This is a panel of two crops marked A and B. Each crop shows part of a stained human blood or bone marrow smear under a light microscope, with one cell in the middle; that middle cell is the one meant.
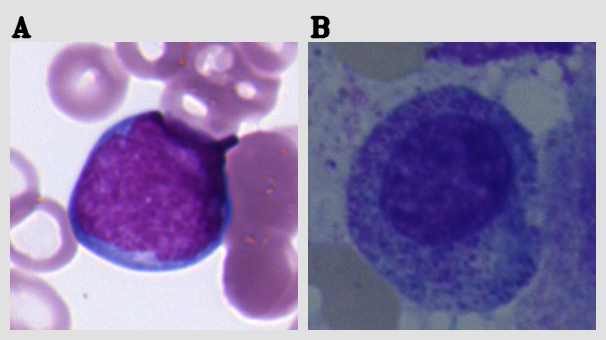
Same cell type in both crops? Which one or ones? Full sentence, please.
No, crop A shows a blast, and crop B, by contrast, shows a myelocyte.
